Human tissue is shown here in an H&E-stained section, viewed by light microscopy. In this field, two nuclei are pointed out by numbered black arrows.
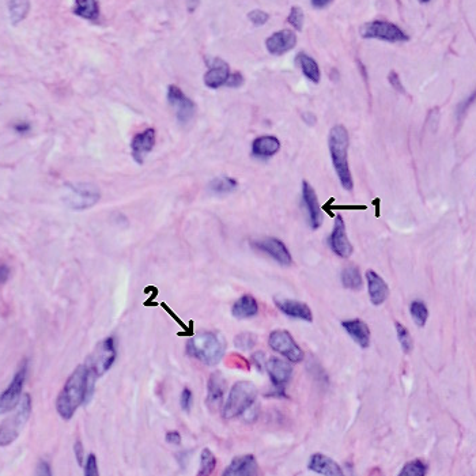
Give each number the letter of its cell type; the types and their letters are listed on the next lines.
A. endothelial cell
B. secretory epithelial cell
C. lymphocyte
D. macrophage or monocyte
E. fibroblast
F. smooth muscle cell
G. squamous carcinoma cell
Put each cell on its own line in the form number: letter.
1: E
2: A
